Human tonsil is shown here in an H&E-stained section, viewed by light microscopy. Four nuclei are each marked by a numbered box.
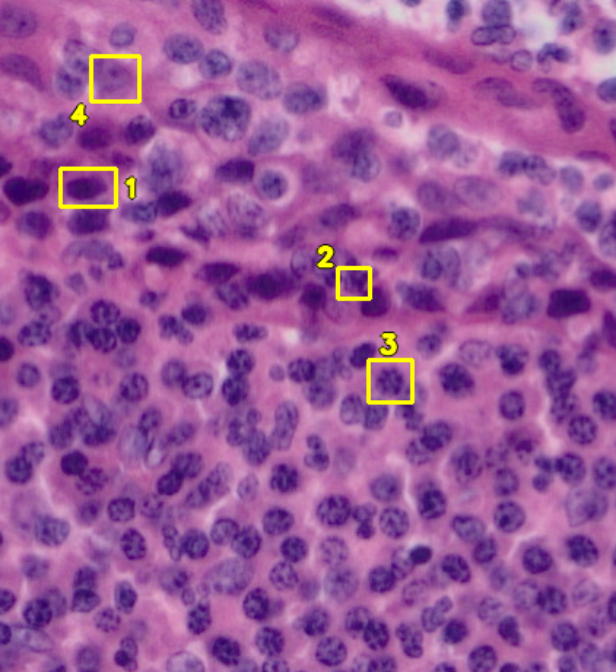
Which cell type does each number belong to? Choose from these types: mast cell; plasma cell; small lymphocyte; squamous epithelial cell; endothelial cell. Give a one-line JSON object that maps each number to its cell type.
{"1": "squamous epithelial cell", "2": "squamous epithelial cell", "3": "plasma cell", "4": "squamous epithelial cell"}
